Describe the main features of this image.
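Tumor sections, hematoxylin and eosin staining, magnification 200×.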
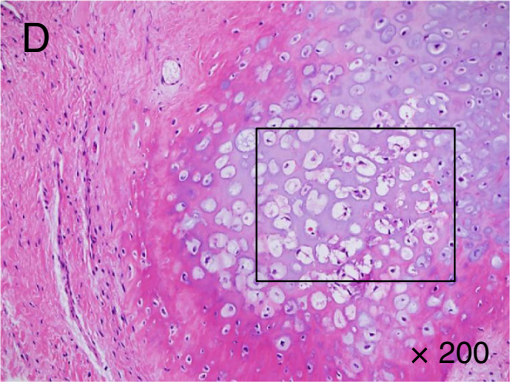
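Here cartilage meets fibrous tissue. On the left run wavy pink bundles of fibrous tissue with slender, elongated dark nuclei lying parallel to the fibres, and a small vessel among them. Toward the right the matrix turns into cartilage: first a pinker zone with smaller cells, then a paler bluish-lilac matrix crowded with chondrocytes sitting in clear rounded lacunae. The cells are packed closely in the central field, many lacunae lying near one another in small groups, their nuclei dark and often shrunken against the lacunar wall. The transition from fibrous tissue to cartilage is gradual rather than sharply bordered.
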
